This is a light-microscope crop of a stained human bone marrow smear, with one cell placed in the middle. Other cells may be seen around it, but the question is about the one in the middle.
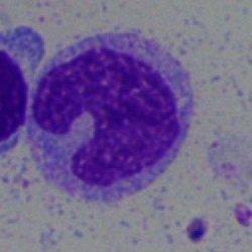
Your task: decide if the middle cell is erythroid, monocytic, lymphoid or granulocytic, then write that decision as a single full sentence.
The cell in the middle falls under the monocytic lineage.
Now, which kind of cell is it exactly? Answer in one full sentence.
At the middle of the frame sits a monocyte.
